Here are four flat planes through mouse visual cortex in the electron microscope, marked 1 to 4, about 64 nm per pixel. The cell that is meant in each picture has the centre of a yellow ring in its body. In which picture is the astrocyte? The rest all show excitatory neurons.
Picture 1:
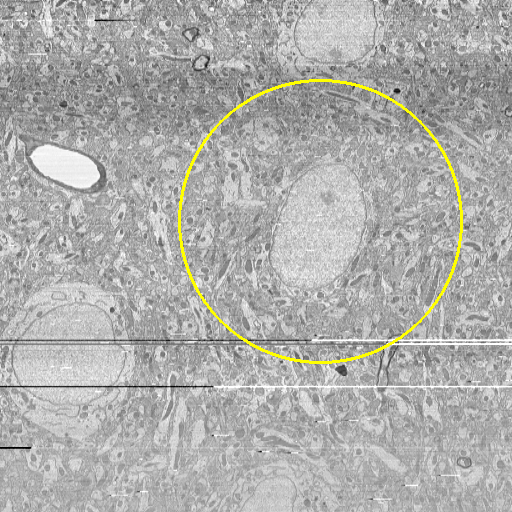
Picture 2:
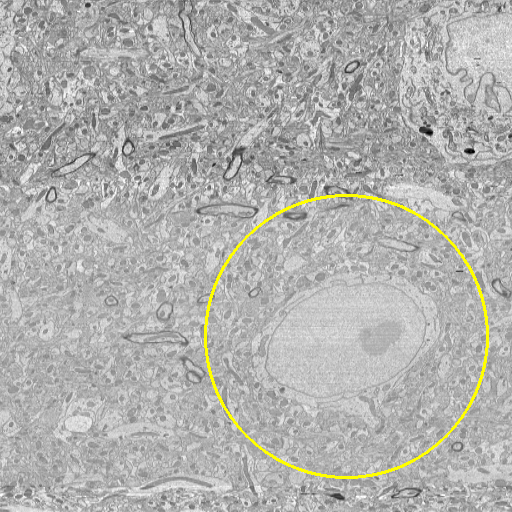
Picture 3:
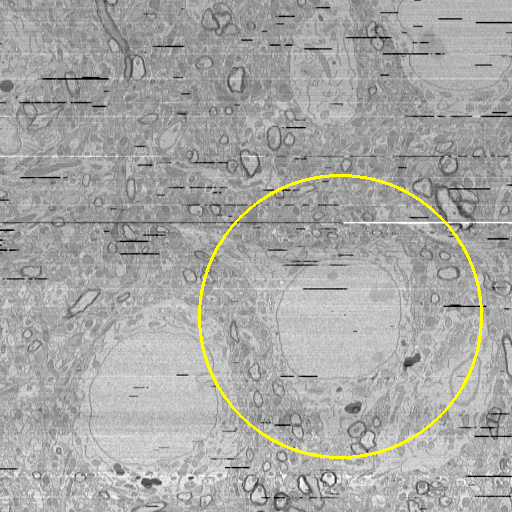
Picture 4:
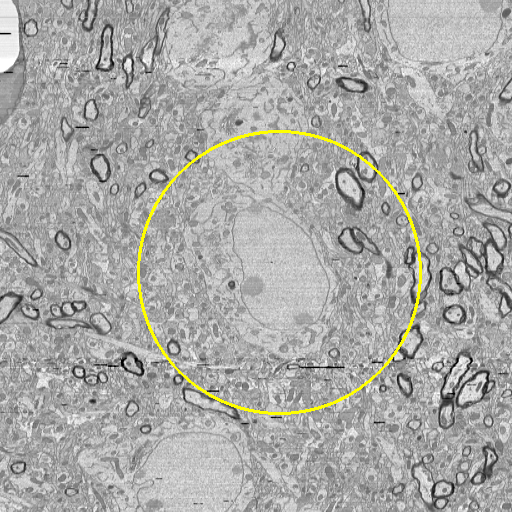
The astrocyte is the one in picture 1.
